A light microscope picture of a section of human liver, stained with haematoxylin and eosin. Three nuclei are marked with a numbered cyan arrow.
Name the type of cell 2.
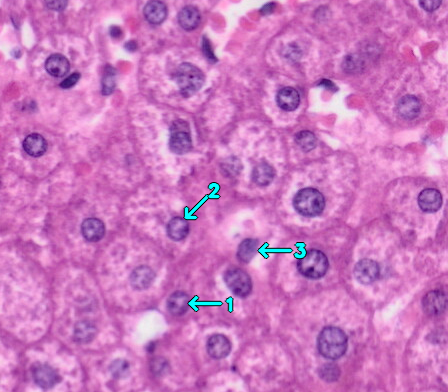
hepatocyte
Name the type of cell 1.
hepatocyte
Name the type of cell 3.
Kupffer cell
